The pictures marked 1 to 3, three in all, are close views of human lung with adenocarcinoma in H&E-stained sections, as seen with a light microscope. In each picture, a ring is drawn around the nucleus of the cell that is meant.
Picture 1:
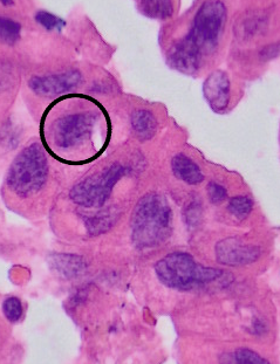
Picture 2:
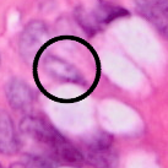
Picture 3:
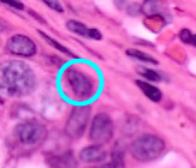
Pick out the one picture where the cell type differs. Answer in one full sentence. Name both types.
The different one is picture 1; it shows a carcinoma cell, whereas all the others show ciliated epithelial cells.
